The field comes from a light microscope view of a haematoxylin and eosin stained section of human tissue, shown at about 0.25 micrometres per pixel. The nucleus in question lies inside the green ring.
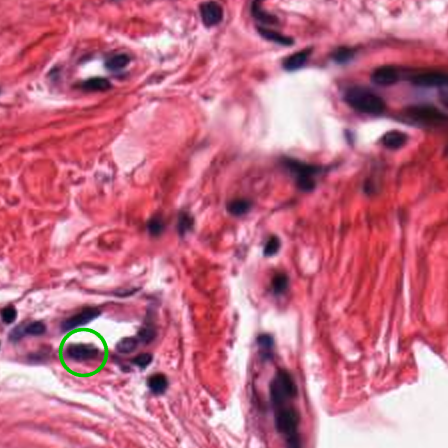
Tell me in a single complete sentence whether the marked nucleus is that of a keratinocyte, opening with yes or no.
No, the cell to which the marked nucleus belongs is a supporting cell rather than a keratinocyte.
